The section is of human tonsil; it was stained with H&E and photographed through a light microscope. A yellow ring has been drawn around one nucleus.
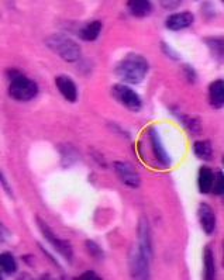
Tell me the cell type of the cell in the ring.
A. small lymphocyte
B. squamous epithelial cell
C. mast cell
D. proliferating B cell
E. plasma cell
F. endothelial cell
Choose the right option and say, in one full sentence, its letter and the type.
Exactly as option F gives it, the cell in the ring is an endothelial cell.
